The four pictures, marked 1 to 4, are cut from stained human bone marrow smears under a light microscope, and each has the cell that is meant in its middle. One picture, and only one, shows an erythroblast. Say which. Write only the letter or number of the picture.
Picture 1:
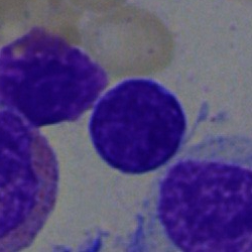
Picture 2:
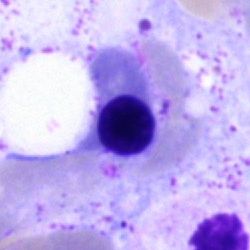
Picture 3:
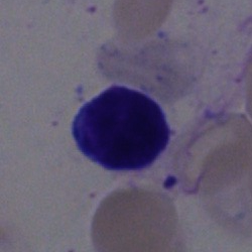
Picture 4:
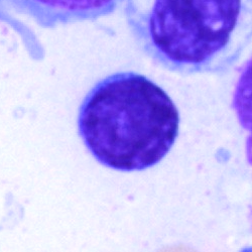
2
